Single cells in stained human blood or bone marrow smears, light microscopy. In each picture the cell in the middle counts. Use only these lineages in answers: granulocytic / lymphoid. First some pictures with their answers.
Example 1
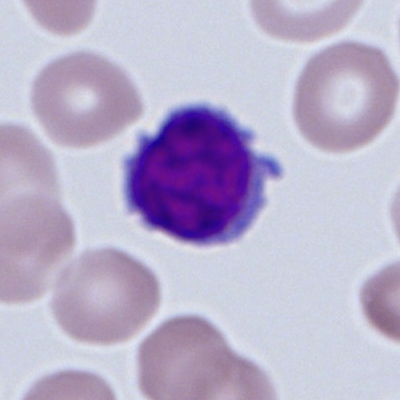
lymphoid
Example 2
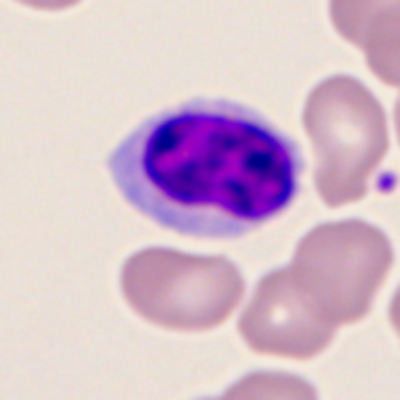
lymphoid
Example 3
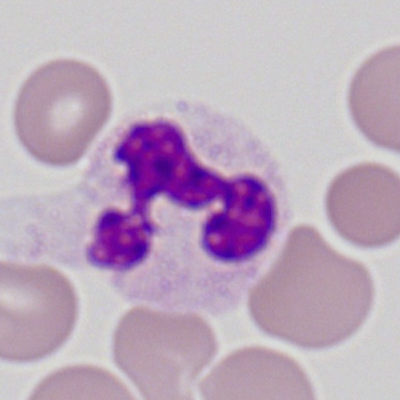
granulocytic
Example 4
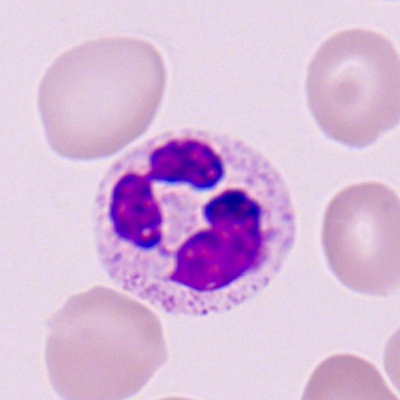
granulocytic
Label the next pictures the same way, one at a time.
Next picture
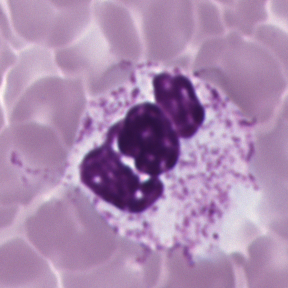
granulocytic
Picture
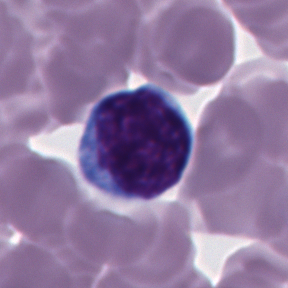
lymphoid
